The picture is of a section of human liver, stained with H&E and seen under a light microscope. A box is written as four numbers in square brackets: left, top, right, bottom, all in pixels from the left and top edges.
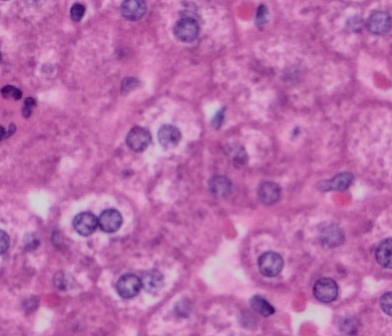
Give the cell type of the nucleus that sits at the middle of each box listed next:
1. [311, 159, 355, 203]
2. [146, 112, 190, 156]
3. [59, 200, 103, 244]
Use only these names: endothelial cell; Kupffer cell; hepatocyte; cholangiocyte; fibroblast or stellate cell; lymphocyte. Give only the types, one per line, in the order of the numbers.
Kupffer cell
hepatocyte
hepatocyte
